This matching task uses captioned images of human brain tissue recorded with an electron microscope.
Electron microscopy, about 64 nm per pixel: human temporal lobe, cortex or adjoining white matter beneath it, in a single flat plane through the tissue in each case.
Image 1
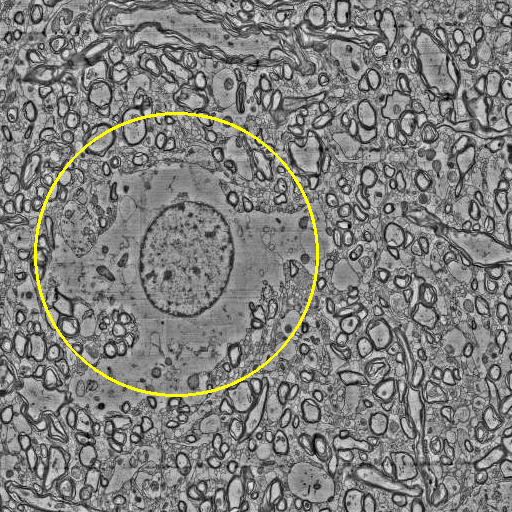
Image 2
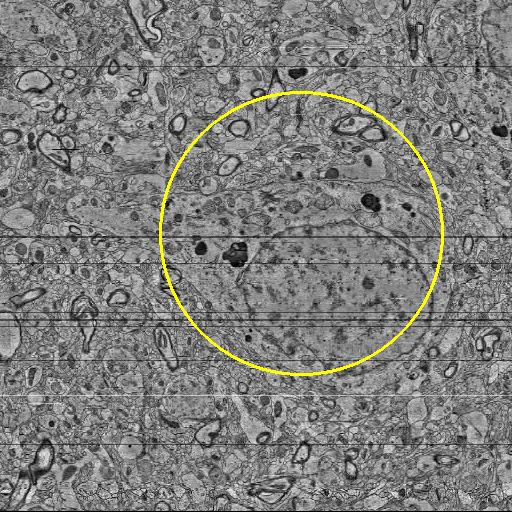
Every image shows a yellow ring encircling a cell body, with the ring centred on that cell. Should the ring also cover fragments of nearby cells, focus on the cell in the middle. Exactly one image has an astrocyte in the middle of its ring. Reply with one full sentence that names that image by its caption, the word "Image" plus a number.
Image 1 shows the cell in question at the centre of its yellow ring.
